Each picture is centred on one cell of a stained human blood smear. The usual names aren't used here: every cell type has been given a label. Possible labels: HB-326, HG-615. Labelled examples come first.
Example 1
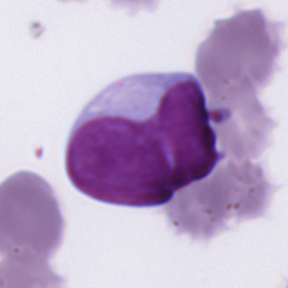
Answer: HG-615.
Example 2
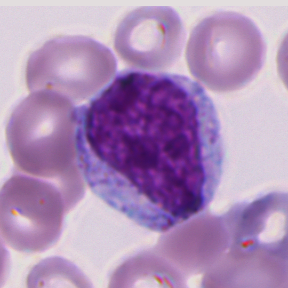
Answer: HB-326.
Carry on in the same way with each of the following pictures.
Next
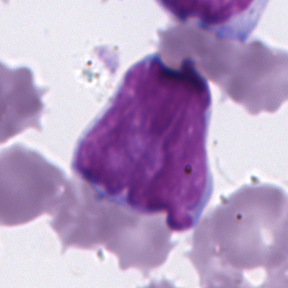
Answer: HG-615.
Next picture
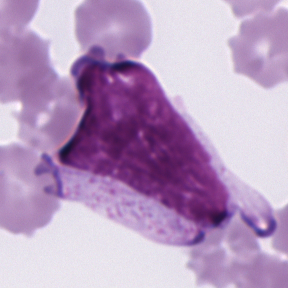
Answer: HB-326.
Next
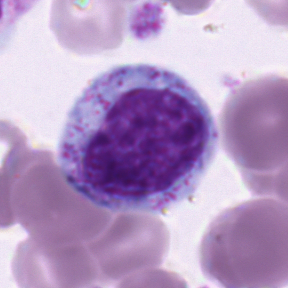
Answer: HB-326.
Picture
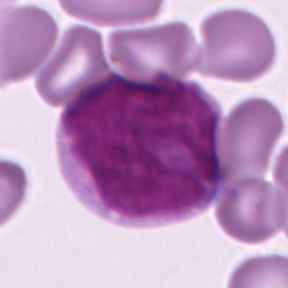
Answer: HG-615.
